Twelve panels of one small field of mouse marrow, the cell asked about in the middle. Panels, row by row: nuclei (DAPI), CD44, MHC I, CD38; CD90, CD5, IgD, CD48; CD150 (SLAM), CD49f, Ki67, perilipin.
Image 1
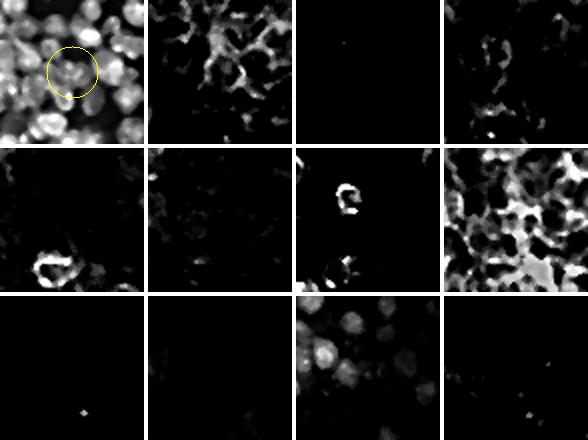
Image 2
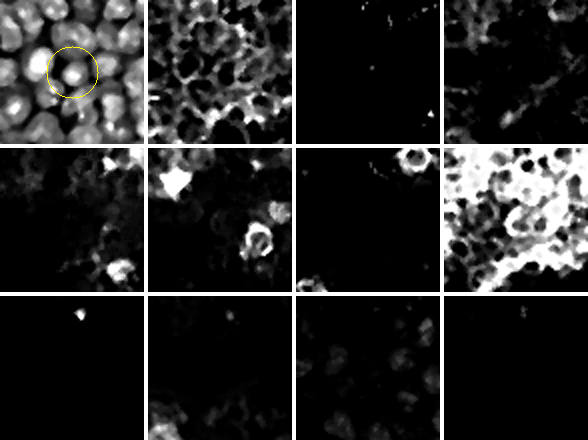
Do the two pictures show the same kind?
Yes, both are monocytes.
